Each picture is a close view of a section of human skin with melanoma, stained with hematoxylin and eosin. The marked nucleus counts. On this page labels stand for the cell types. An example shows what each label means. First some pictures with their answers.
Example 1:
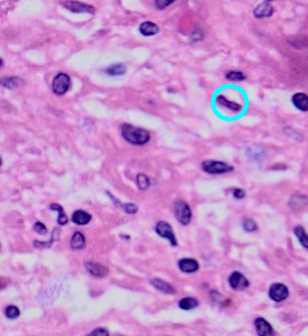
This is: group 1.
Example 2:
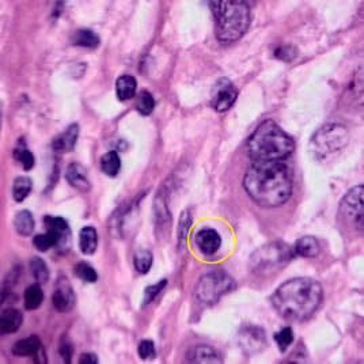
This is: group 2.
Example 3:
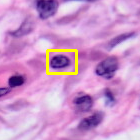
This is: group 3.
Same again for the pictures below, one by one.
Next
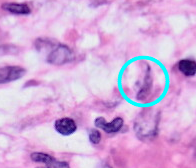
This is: group 1.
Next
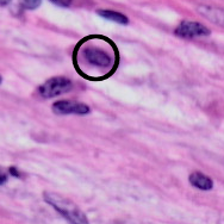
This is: group 3.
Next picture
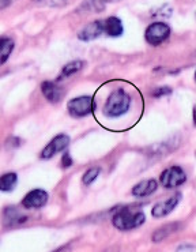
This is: group 2.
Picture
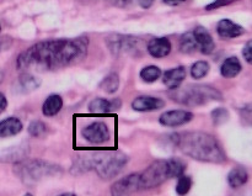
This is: group 2.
